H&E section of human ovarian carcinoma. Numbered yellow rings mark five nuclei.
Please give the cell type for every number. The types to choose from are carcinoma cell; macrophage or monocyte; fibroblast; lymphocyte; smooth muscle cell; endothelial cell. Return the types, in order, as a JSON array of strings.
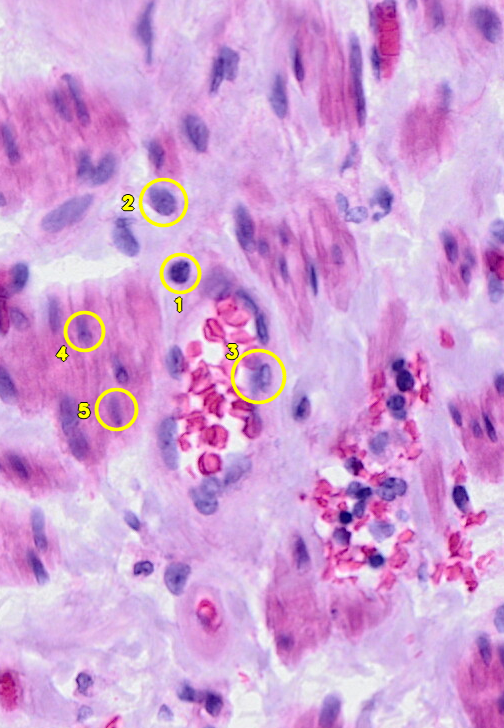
["lymphocyte", "fibroblast", "endothelial cell", "smooth muscle cell", "smooth muscle cell"]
